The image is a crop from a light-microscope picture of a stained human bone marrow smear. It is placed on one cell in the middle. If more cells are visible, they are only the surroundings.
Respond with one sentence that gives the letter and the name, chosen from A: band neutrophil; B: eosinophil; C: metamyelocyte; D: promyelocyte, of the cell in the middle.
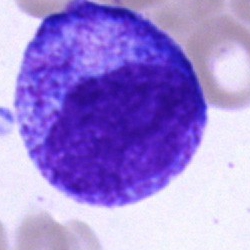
The correct response is option D, naming the cell in the middle as a promyelocyte.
